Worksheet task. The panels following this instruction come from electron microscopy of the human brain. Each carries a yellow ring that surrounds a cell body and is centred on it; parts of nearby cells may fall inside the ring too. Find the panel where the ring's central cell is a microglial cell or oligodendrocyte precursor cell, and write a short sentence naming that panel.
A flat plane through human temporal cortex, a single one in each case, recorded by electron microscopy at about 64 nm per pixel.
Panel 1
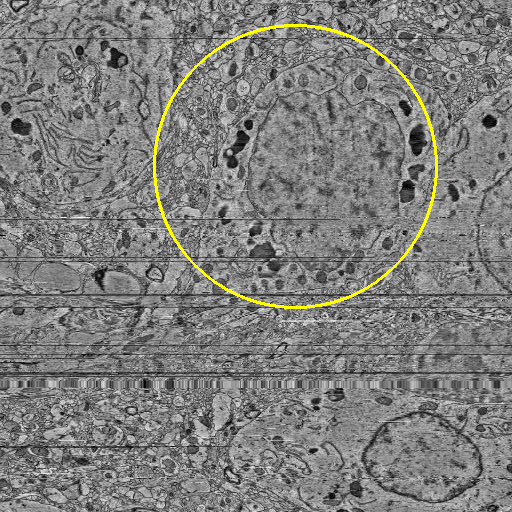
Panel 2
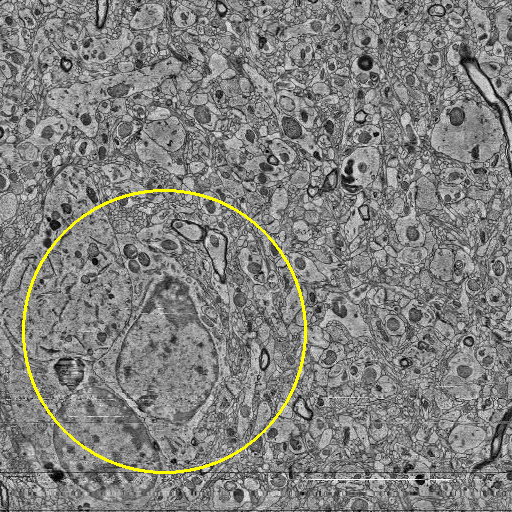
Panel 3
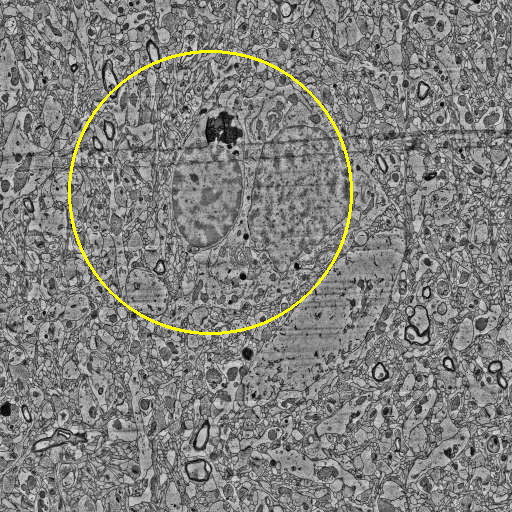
The cell sought is in Panel 2.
